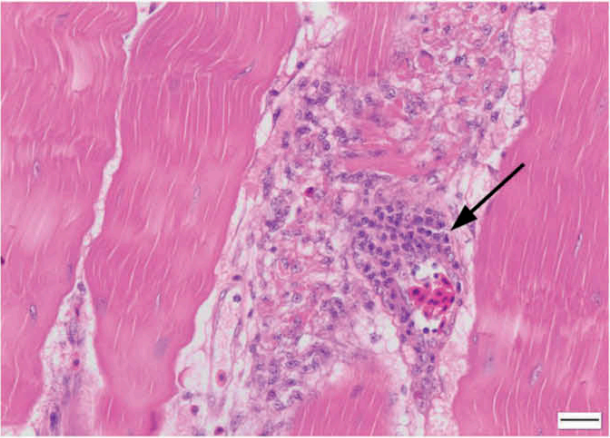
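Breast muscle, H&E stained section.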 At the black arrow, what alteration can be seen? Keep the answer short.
perivascular cuffing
